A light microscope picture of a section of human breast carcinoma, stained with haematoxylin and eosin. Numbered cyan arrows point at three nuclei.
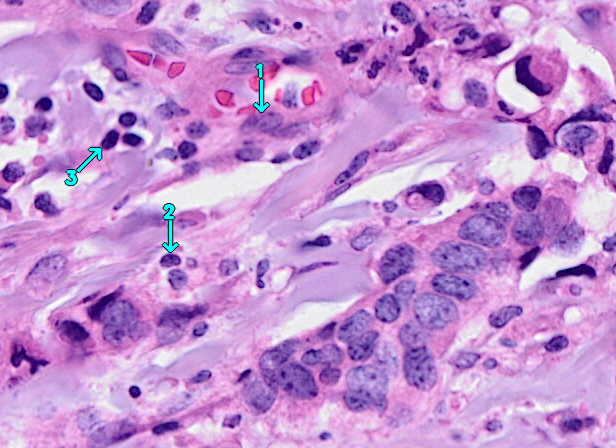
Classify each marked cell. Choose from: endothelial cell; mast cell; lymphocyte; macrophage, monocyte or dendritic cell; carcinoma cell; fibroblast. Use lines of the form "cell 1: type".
cell 1: endothelial cell
cell 2: lymphocyte
cell 3: lymphocyte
